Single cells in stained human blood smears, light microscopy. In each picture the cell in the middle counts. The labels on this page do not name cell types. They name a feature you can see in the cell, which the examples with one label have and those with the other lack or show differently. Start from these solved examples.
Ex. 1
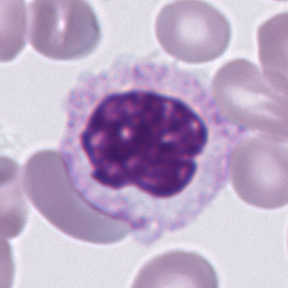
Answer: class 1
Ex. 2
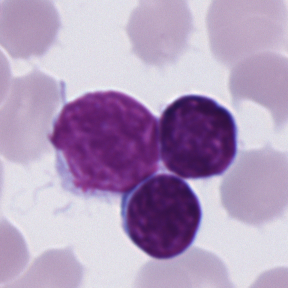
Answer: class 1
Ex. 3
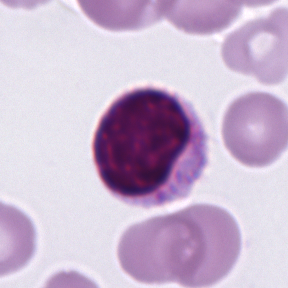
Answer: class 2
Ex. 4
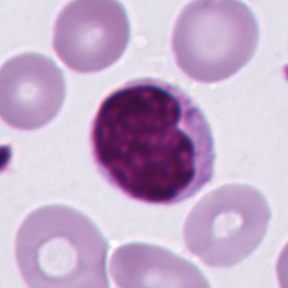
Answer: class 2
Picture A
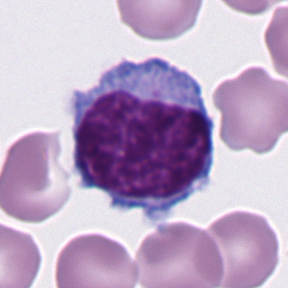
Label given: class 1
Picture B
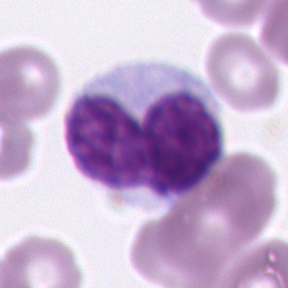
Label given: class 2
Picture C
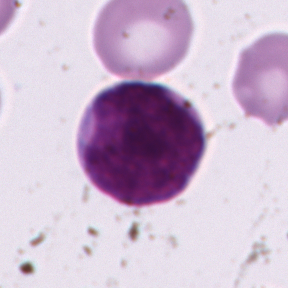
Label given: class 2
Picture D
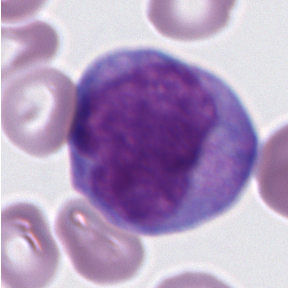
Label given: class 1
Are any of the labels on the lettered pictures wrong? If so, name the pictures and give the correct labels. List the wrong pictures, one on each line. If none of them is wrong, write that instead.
D is labelled class 1; correct label: class 2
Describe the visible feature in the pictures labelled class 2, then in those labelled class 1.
In class 2: smooth outline. In class 1: ragged outline or projections.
